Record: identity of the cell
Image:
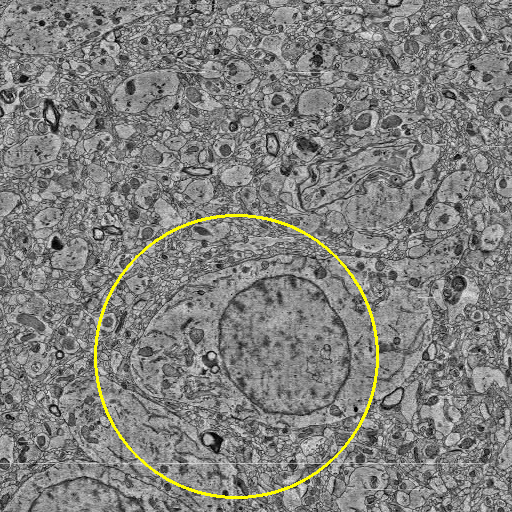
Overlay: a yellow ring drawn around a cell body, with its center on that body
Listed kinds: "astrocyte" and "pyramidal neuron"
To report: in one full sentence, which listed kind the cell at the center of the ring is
In the image, the cell body at the ring's center belongs to a pyramidal neuron.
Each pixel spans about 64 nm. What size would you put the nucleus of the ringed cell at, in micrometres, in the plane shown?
In this plane, approximately 9 by 8 micrometers.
